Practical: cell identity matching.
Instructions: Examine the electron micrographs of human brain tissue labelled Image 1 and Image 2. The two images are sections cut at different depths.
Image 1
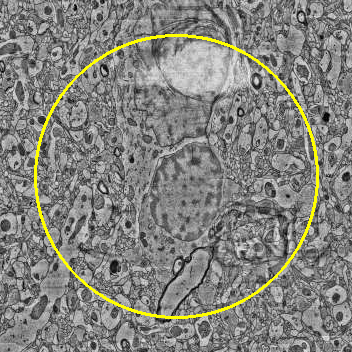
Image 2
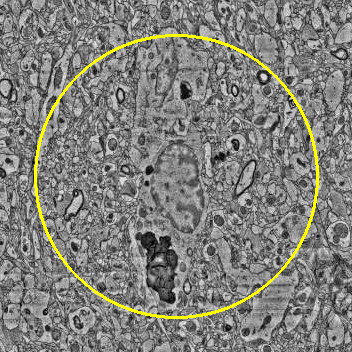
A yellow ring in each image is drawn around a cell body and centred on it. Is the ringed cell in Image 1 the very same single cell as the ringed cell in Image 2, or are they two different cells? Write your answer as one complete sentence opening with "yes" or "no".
Yes, one and the same cell lies under both rings.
